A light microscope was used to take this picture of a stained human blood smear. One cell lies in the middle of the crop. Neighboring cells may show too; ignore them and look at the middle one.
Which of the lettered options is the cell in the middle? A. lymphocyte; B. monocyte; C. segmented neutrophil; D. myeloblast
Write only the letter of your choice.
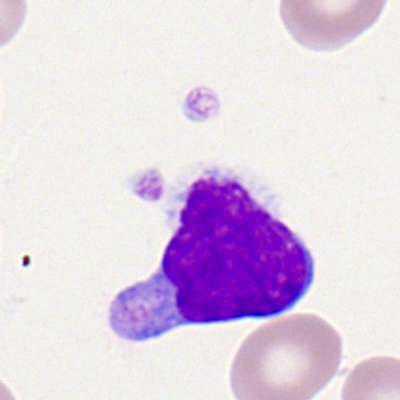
A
